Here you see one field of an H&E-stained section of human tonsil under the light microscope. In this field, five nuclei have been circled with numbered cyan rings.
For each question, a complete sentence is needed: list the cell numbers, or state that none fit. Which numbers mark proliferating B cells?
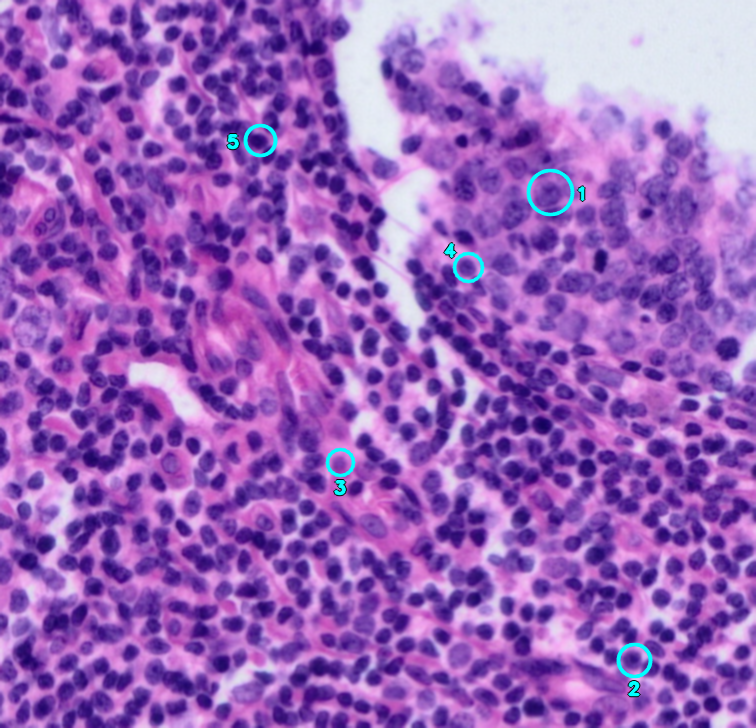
The cells with the number labels 1 and 4 are proliferating B cells.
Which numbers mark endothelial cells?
Only number 3 of the marked cells is an endothelial cell.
